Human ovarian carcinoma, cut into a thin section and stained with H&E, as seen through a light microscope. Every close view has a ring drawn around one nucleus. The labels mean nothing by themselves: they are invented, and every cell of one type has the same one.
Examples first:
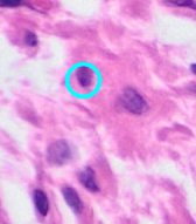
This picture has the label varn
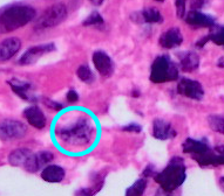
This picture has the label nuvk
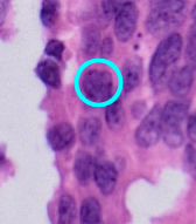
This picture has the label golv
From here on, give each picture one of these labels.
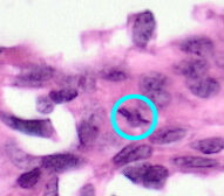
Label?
golv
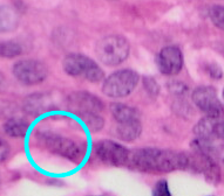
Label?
golv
